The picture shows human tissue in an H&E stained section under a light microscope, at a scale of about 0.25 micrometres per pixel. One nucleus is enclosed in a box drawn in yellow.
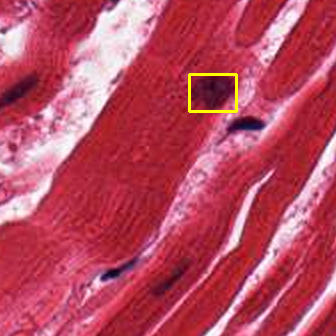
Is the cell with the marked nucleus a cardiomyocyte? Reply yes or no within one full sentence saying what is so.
Yes, the nucleus that is marked belongs to a cardiomyocyte.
